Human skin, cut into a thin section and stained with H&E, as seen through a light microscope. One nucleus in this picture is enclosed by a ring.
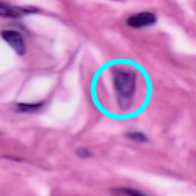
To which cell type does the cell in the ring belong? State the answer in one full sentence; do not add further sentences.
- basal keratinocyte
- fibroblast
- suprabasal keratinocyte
In this section, the cell in the ring is a fibroblast.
